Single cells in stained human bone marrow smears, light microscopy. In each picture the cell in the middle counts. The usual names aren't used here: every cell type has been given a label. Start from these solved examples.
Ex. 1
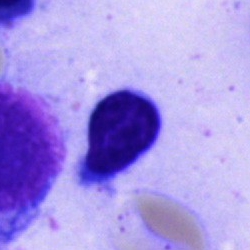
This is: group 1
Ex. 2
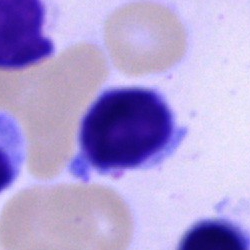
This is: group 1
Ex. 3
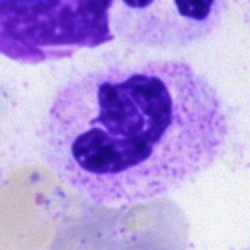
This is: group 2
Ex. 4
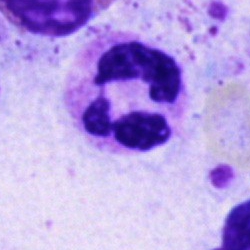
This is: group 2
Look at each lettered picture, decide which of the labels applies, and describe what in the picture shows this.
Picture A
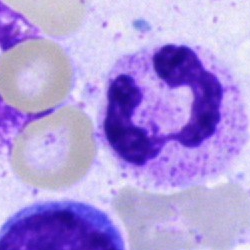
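group 2. Reason: Fine pinkish-purple granules are scattered throughout the cytoplasm.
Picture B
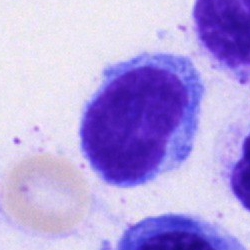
group 1. Reason: The nucleus fills most of the cell and lies toward its left side.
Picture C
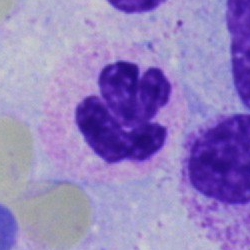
group 2. Reason: The cytoplasm is plentiful and pale pink.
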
